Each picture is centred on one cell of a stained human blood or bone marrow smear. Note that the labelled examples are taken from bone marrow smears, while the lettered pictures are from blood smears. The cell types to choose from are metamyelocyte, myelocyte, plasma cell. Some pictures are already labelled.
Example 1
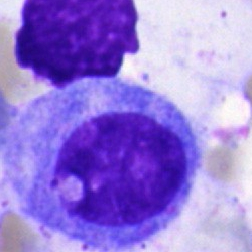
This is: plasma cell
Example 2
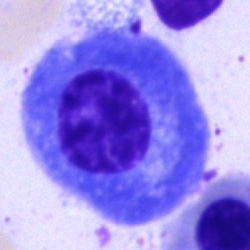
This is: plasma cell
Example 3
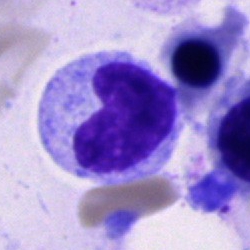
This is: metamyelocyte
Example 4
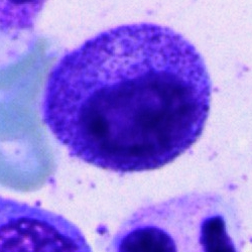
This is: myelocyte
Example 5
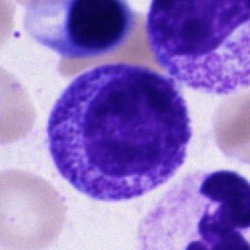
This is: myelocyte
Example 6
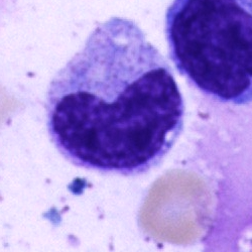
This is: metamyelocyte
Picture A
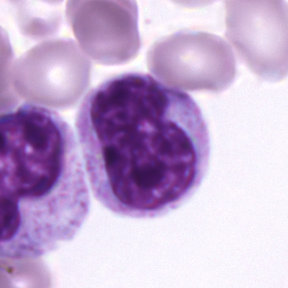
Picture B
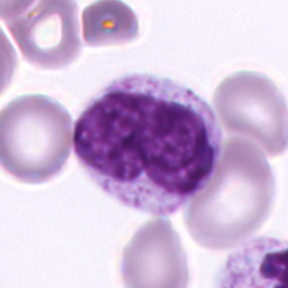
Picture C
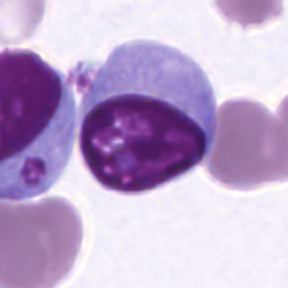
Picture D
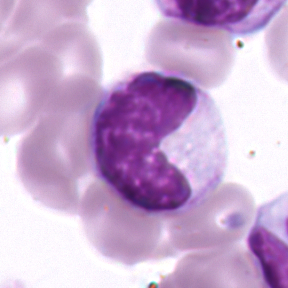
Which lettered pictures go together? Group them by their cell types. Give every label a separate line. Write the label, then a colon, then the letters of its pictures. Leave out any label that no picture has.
metamyelocyte: A, B, D
plasma cell: C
